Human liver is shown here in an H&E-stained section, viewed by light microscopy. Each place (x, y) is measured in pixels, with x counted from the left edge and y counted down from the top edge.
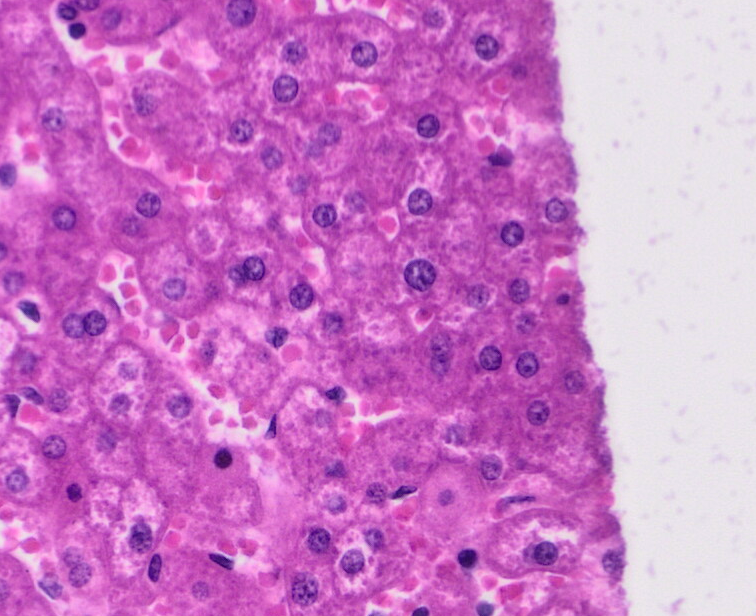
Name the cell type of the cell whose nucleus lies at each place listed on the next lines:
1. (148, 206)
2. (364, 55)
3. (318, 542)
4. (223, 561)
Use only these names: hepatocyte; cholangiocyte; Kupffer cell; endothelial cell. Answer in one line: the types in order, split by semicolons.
hepatocyte; hepatocyte; hepatocyte; endothelial cell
